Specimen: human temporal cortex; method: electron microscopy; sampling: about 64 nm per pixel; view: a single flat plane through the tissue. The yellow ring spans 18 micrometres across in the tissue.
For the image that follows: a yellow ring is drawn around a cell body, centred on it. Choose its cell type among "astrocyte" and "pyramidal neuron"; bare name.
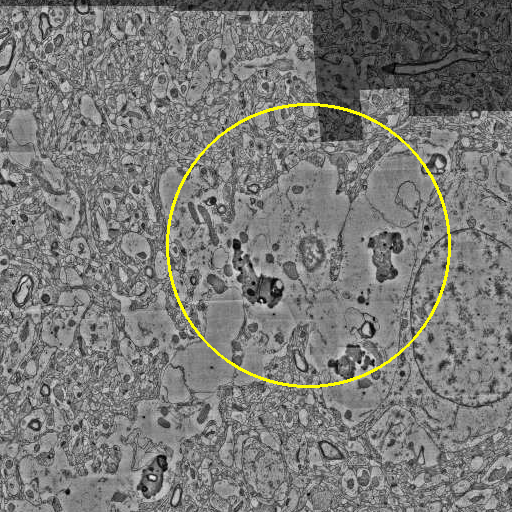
astrocyte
